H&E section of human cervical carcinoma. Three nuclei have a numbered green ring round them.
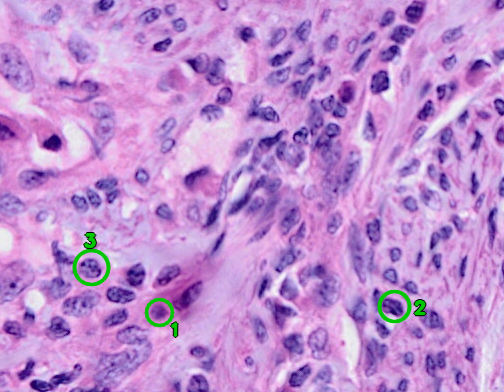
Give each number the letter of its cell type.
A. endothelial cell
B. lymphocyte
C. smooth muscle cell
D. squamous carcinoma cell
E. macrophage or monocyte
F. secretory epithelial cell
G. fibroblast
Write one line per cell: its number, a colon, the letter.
1: A
2: B
3: B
